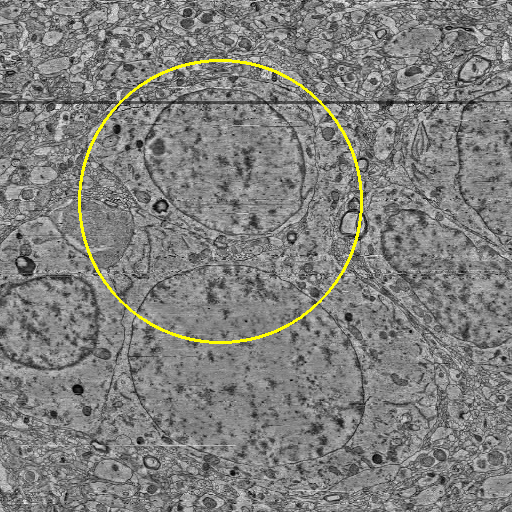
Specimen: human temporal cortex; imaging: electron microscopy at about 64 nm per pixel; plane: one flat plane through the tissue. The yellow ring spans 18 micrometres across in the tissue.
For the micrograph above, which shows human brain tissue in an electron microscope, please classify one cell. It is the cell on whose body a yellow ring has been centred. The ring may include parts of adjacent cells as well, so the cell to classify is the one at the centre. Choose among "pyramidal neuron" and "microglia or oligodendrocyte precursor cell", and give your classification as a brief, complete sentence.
I classify this cell as a pyramidal neuron.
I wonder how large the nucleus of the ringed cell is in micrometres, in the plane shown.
Approximately 11 micrometres long and 9 micrometres wide, in this plane.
